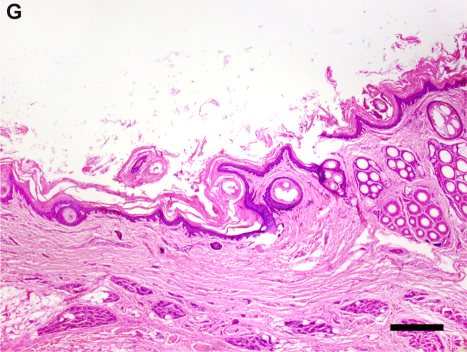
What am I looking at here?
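Skin with a thin epidermis over pale pink dermis, with loose flaky surface material above. Clusters of round gland profiles and hair follicle sections lie in the dermis beneath the surface.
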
